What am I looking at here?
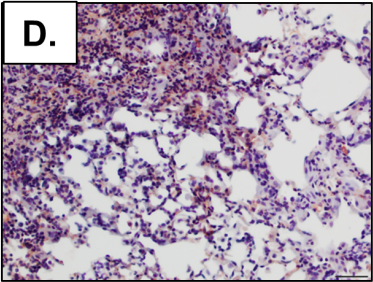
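Lung tissue in which the normal alveolar pattern is partly lost. A dense, crowded region of cells with many small blue nuclei occupies the upper left, where the air spaces are filled in. Red to brown staining is scattered through this cellular region. Toward the right and bottom, some alveoli remain open, but their walls are thickened and more cellular than normal thin septa. The result is a patchy mixture of consolidated tissue and surviving air spaces.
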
